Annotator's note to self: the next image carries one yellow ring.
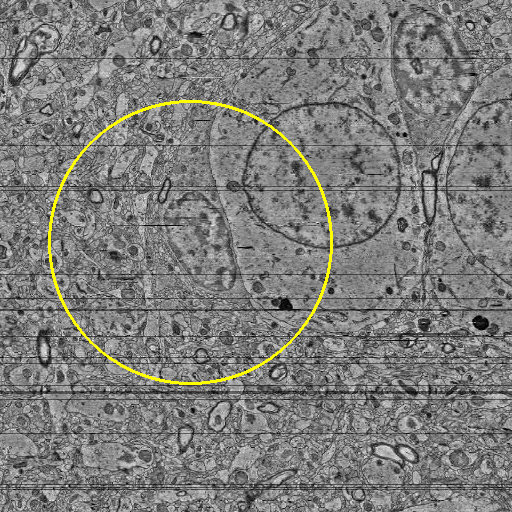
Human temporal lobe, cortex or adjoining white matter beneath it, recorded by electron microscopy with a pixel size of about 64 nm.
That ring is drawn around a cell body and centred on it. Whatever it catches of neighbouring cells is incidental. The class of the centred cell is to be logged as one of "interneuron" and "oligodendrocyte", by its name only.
oligodendrocyte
